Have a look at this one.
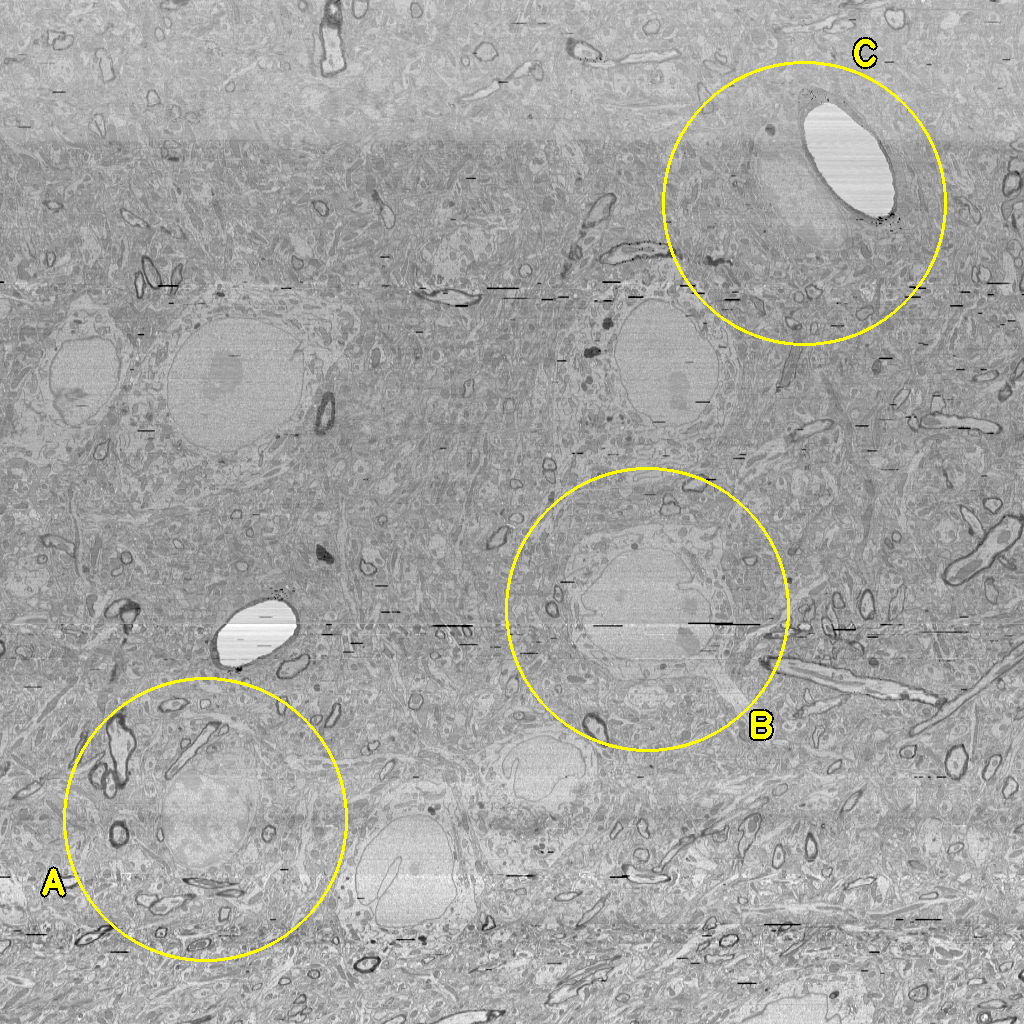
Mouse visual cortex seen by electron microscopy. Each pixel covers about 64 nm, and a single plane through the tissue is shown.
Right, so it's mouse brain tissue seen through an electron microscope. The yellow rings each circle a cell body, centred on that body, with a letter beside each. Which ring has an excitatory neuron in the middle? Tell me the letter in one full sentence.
That kind of cell is sitting in the middle of ring B there.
